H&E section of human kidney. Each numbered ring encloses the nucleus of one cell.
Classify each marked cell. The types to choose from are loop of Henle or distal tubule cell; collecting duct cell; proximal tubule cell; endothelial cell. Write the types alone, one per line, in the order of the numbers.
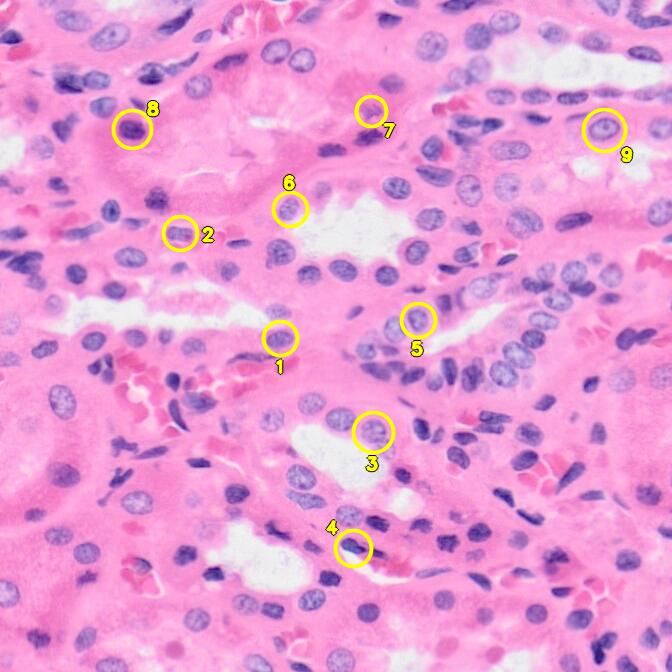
loop of Henle or distal tubule cell
endothelial cell
loop of Henle or distal tubule cell
endothelial cell
collecting duct cell
loop of Henle or distal tubule cell
proximal tubule cell
proximal tubule cell
proximal tubule cell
